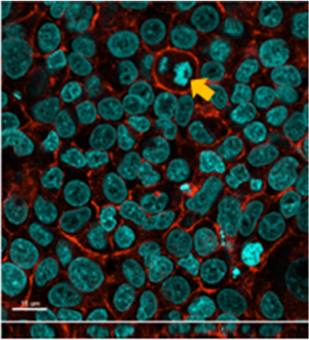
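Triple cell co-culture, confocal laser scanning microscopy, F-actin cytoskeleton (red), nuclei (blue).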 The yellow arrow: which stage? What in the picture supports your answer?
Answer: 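Cells undergoing cell division. The marked cell has a condensed, irregular clump of chromatin rather than a smooth oval nucleus. The cell is rounded with a red outline.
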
